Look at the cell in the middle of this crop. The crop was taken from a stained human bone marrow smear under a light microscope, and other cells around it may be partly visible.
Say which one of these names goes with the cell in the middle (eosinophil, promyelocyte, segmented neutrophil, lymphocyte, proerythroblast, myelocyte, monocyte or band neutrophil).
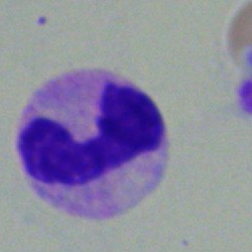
band neutrophil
